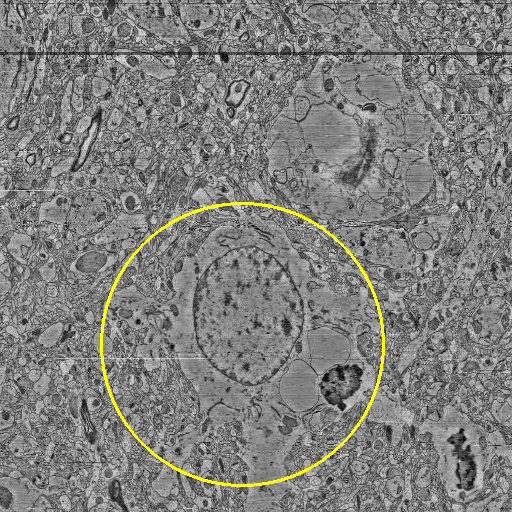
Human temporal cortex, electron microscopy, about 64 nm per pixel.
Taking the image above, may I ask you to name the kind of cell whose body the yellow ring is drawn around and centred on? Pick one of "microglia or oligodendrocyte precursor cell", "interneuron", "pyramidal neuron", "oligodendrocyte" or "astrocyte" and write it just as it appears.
astrocyte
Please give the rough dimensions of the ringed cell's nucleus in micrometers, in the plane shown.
In this plane the nucleus measures roughly 9 by 7 micrometers.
